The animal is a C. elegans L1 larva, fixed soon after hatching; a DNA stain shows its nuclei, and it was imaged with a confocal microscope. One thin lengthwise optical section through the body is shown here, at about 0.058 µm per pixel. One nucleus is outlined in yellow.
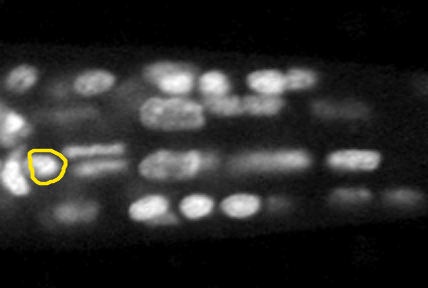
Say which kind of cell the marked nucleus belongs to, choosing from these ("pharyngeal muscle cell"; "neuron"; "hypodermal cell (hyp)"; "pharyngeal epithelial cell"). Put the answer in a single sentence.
This is the nucleus of a neuron.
